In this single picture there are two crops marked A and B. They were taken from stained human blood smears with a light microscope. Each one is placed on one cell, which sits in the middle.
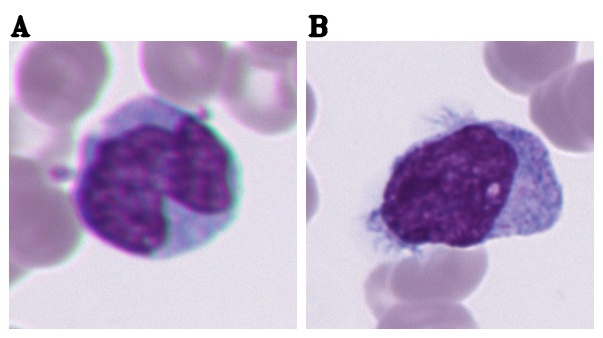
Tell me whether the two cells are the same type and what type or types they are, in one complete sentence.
Yes, monocytes lie at the centre of both crops.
